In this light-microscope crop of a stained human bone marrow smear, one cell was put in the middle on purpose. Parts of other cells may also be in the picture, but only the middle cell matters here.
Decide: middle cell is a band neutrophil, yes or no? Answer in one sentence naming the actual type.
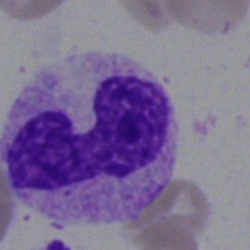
Yes, the cell at the heart of the crop is a band neutrophil.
